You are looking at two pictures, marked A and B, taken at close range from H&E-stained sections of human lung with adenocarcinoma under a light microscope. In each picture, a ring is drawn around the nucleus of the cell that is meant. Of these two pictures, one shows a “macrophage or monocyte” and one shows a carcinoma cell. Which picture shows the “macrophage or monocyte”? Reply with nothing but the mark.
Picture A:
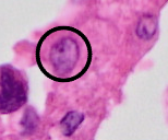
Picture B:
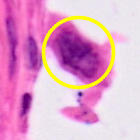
A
